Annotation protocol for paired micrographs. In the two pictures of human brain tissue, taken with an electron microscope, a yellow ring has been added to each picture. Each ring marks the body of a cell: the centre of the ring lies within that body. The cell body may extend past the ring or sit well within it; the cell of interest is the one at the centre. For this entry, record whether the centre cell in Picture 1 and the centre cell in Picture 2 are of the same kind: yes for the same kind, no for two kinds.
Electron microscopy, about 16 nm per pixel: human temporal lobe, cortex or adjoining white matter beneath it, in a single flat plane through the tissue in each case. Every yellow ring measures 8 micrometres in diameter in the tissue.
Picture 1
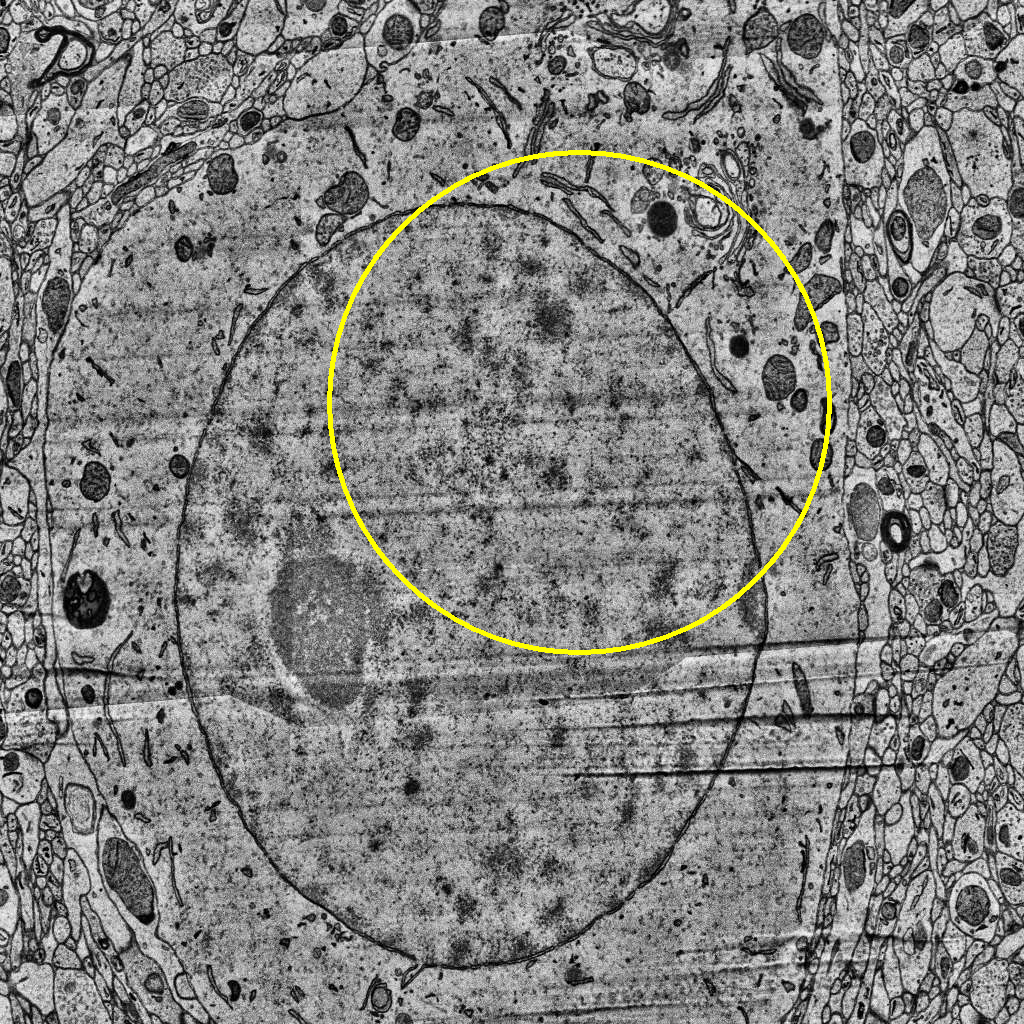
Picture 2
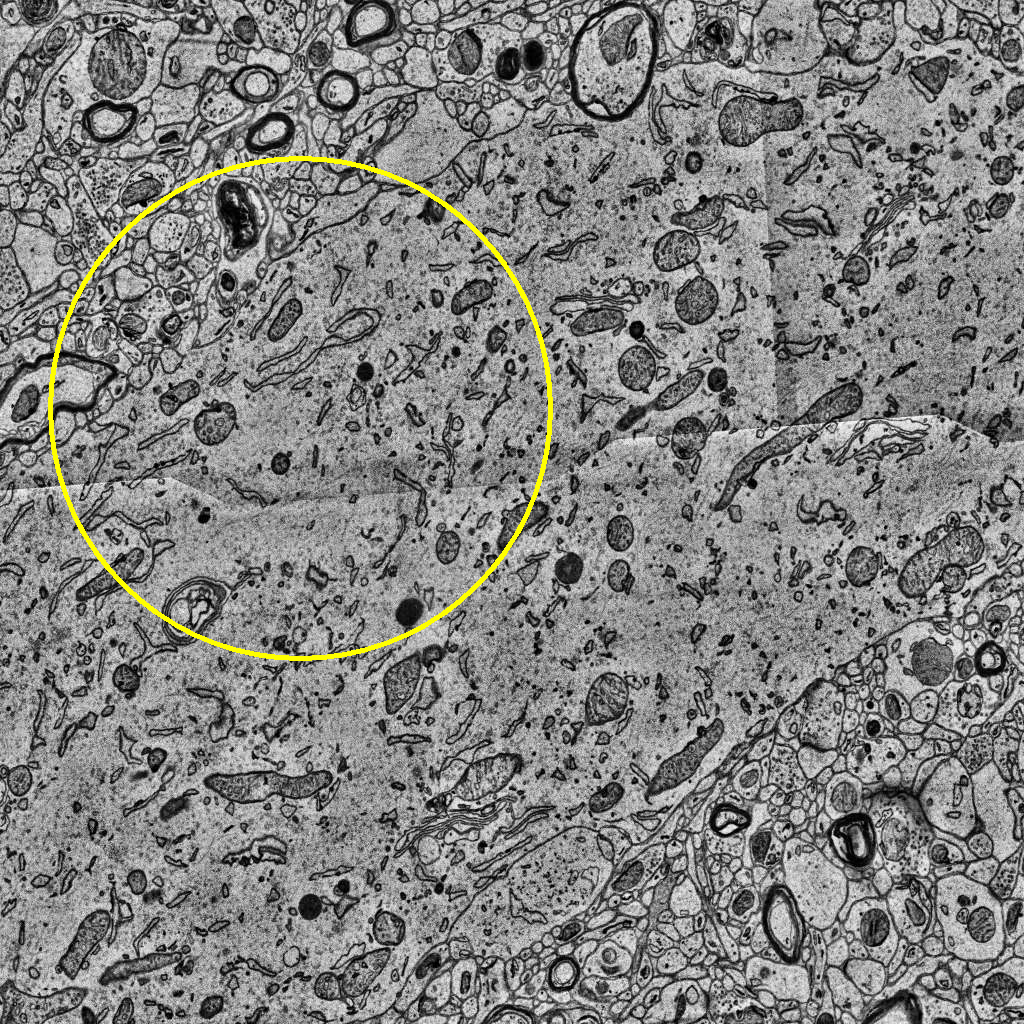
yes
